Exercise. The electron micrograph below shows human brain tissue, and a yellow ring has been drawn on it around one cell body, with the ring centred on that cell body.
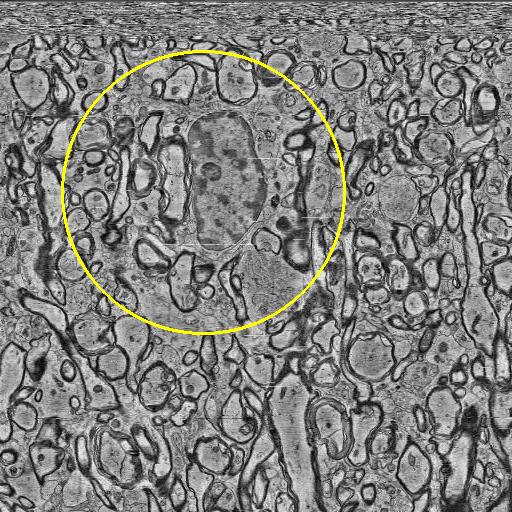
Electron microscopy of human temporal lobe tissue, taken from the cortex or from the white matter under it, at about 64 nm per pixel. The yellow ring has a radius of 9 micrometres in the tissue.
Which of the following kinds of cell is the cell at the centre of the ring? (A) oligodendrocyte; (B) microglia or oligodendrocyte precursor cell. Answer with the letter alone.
B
